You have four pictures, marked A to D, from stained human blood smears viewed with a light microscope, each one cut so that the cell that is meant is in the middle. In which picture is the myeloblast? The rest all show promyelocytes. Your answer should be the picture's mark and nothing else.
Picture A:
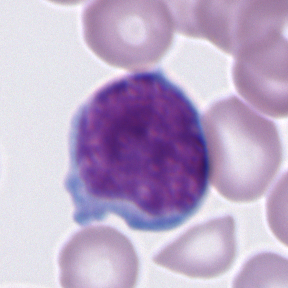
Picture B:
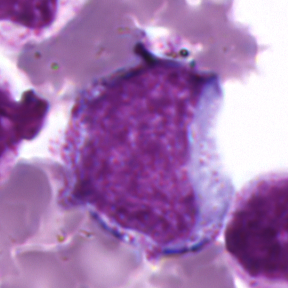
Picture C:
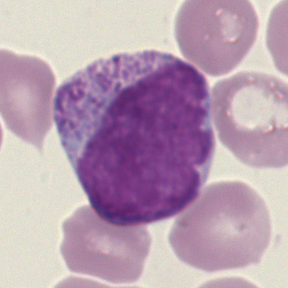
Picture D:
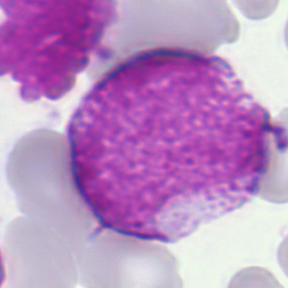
A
